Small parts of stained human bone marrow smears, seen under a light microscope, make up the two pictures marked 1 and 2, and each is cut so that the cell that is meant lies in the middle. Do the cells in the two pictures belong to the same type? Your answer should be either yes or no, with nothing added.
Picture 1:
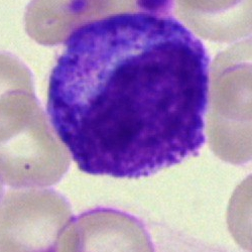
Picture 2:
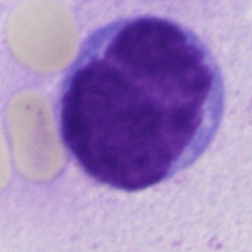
no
